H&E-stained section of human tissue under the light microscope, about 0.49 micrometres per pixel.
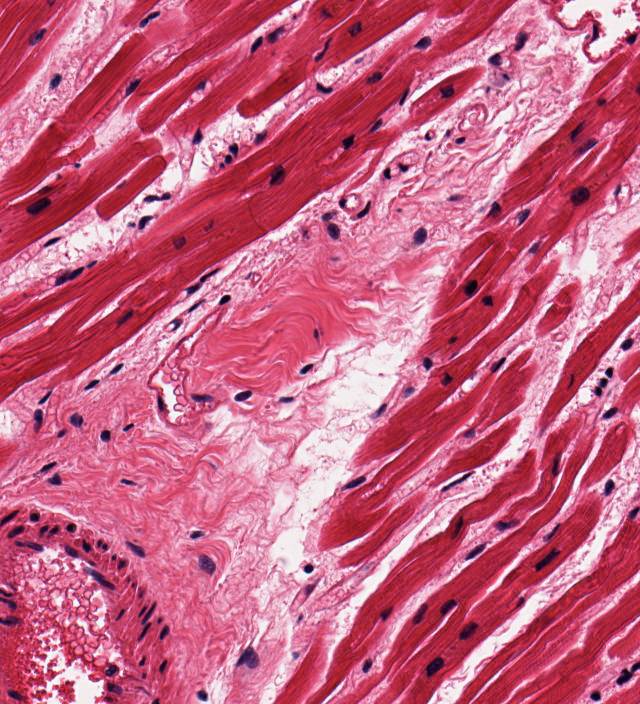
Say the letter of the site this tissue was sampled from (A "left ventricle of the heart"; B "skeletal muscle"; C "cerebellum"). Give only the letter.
A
